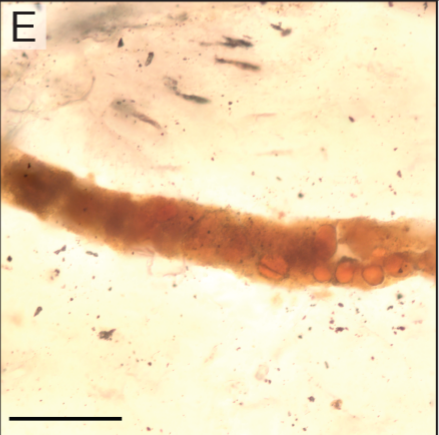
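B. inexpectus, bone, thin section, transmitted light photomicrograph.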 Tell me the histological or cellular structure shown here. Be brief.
Vessel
